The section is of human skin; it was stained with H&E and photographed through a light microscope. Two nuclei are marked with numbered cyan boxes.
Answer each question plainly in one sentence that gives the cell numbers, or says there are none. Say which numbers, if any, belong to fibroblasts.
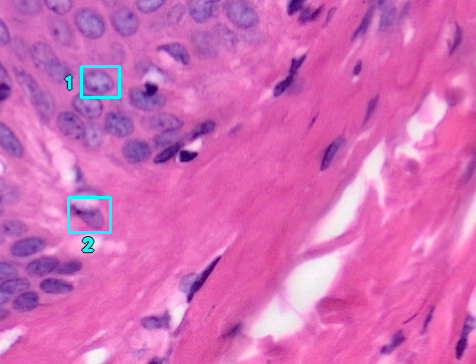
Cell number 2 alone is a fibroblast; the rest are not.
